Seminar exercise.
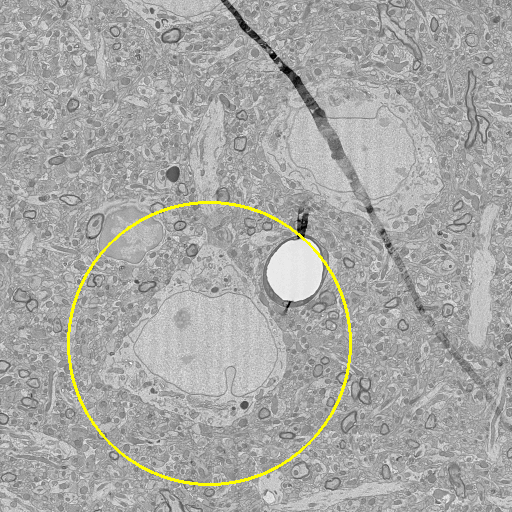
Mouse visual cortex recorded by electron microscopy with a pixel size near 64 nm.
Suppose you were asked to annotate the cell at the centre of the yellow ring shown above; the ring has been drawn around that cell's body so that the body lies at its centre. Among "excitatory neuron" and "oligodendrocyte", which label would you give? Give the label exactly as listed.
excitatory neuron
